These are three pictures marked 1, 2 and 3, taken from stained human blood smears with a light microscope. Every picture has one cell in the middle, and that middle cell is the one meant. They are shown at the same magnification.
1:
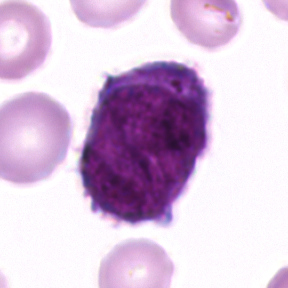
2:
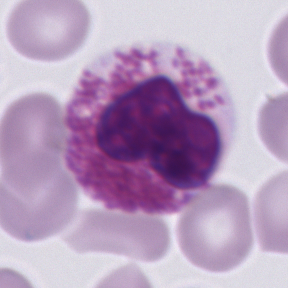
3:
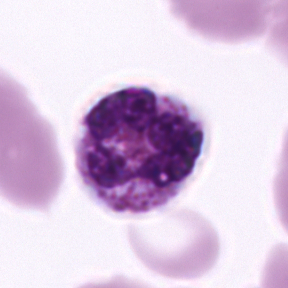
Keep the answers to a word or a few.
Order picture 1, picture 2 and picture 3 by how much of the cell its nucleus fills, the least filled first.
2, 3, 1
